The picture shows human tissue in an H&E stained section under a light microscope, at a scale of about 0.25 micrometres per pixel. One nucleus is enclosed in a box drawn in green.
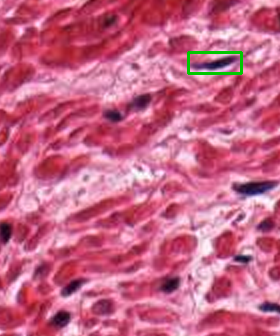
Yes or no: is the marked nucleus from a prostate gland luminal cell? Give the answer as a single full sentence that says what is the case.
No, not a prostate gland luminal cell but a supporting cell is the owner of the marked nucleus.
